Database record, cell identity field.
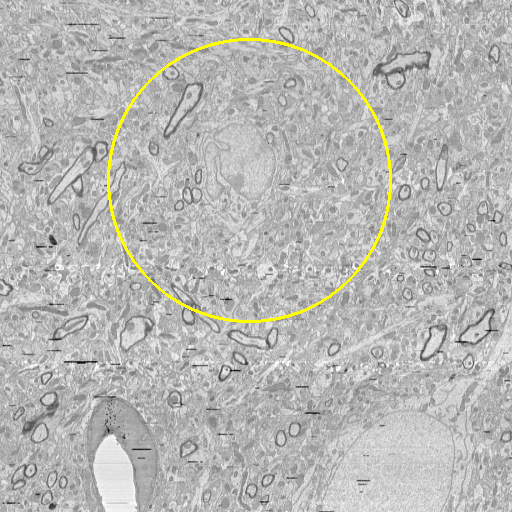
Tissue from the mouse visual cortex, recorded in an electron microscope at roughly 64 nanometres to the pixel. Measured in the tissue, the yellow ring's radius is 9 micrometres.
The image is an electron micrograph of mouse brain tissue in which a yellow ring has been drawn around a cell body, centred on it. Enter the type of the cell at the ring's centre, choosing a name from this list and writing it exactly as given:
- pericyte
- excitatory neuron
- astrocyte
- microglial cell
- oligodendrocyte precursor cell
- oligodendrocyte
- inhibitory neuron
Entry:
oligodendrocyte precursor cell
